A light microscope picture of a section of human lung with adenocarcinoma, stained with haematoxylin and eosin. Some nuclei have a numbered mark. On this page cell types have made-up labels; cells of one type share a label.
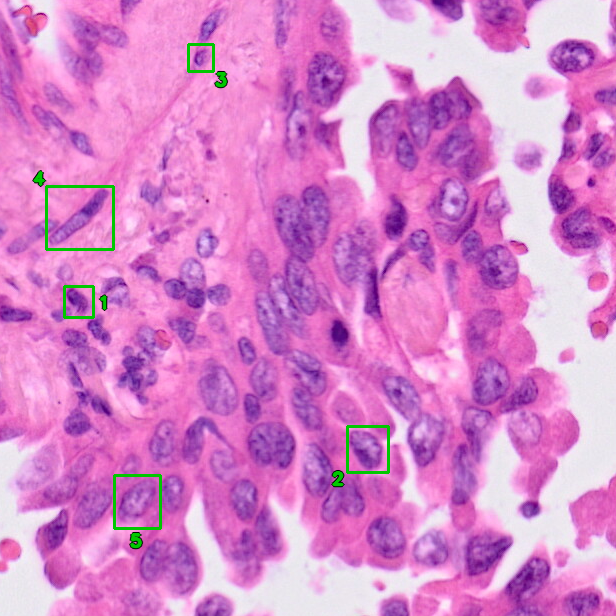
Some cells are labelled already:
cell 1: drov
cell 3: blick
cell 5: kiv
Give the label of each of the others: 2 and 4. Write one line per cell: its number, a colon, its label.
2: kiv
4: blick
